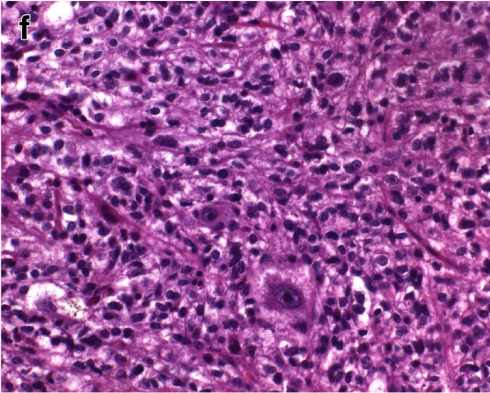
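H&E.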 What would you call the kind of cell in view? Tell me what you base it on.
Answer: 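Near the bottom centre lies one much larger cell with abundant pink cytoplasm. Its nucleus is large with a prominent nucleolus, far bigger than the surrounding nuclei.
Giant cells with large nuclei.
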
